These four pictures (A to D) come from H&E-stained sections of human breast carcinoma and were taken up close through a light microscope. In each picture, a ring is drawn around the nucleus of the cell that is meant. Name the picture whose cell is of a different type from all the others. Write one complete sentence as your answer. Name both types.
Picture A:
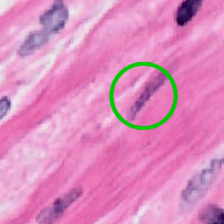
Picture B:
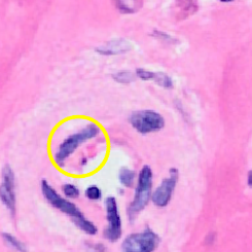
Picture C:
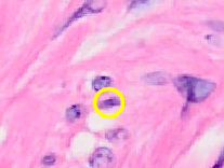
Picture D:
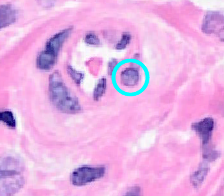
Picture A is the odd one out: it shows a fibroblast, while the others show endothelial cells.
